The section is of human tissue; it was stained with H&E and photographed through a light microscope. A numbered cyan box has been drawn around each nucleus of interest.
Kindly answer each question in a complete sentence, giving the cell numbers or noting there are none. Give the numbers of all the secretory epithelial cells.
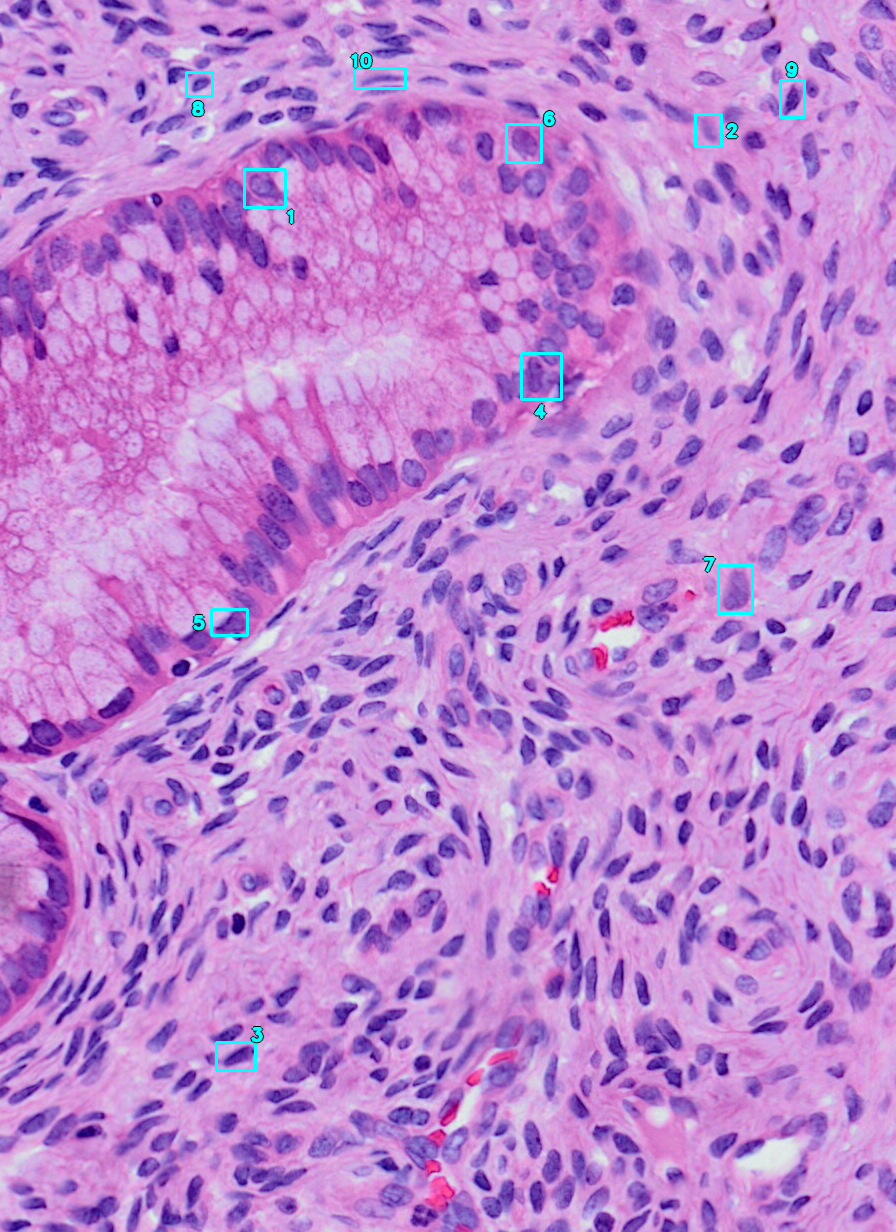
The cells numbered 1, 4, 5 and 6 are of the kind known as secretory epithelial cells.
